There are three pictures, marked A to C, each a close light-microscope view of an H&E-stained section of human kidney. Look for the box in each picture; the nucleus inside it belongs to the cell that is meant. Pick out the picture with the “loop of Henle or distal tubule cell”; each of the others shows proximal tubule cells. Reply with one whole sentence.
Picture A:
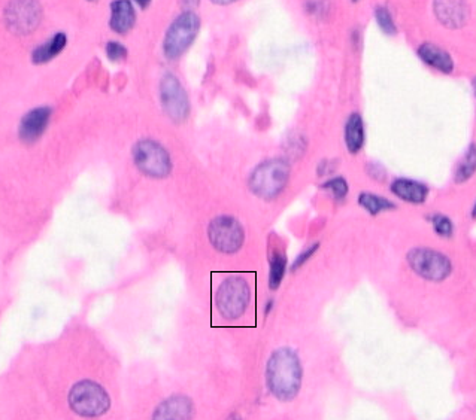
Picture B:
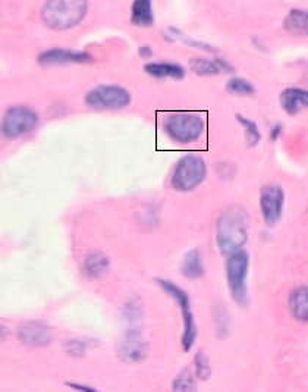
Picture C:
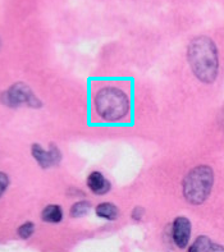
The cell in picture B is the “loop of Henle or distal tubule cell”.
